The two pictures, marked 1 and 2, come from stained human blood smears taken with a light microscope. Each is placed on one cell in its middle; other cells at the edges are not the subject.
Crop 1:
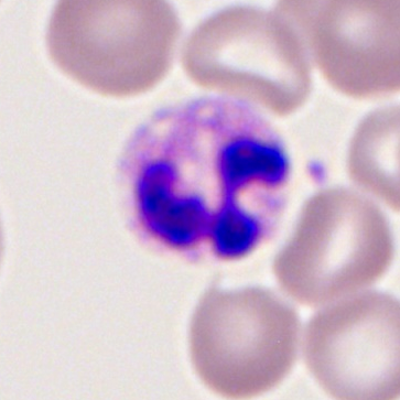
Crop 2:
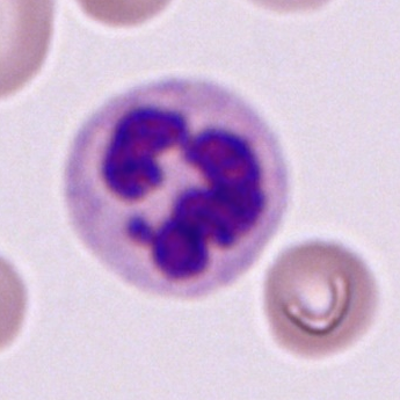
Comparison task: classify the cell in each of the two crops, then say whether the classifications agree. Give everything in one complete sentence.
Yes, both crops show neutrophils in the centre of the field.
